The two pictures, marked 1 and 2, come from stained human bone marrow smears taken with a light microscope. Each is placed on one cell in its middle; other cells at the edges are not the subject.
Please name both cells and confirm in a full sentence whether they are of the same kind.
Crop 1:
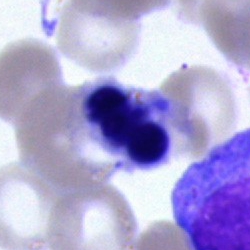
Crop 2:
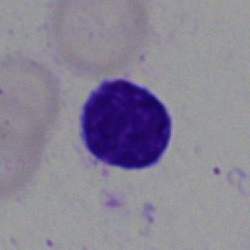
No, crop 1 contains an erythroblast; a lymphocyte is what crop 2 contains.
